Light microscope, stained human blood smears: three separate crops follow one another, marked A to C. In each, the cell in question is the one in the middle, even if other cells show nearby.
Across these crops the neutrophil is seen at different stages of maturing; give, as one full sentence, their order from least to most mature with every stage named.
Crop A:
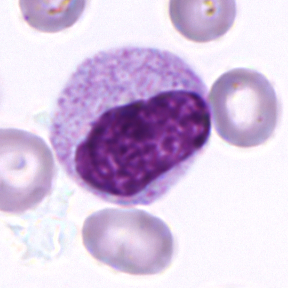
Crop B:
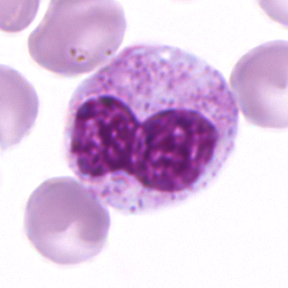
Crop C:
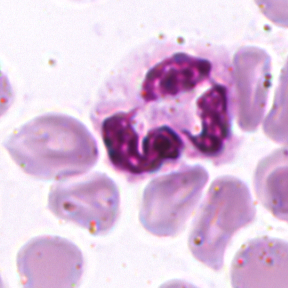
Ordered by maturation stage, least mature first, these are crop A (a metamyelocyte), crop B (a band neutrophil) and crop C (a segmented neutrophil).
